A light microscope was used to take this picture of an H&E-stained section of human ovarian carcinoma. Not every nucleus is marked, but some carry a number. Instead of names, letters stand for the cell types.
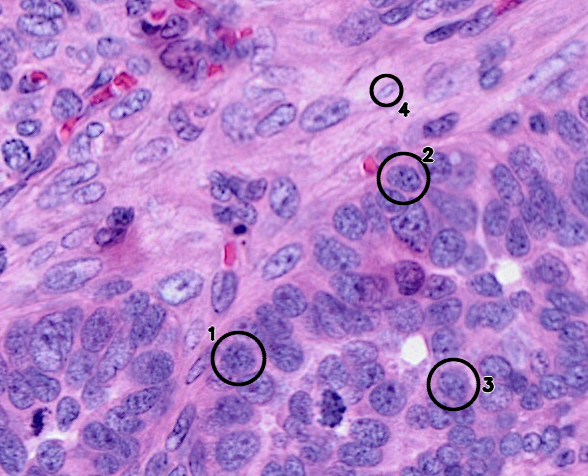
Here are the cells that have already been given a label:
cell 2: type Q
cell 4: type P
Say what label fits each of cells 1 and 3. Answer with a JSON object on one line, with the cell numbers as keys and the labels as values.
{"1": "type Q", "3": "type Q"}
